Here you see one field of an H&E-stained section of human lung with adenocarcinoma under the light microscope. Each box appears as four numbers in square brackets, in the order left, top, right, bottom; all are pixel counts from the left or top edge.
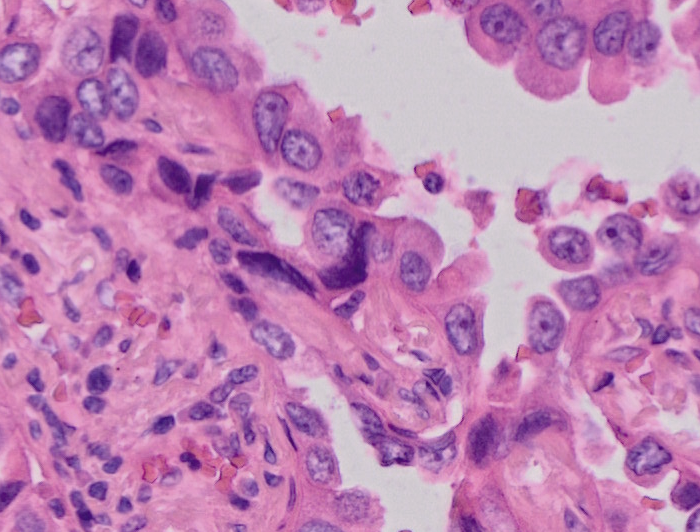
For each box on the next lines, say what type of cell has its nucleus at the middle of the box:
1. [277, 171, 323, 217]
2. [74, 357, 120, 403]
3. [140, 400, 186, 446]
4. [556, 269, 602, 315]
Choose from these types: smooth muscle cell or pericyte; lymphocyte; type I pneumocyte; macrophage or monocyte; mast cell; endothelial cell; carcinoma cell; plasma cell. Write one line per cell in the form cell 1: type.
cell 1: carcinoma cell
cell 2: lymphocyte
cell 3: lymphocyte
cell 4: carcinoma cell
